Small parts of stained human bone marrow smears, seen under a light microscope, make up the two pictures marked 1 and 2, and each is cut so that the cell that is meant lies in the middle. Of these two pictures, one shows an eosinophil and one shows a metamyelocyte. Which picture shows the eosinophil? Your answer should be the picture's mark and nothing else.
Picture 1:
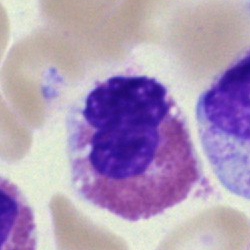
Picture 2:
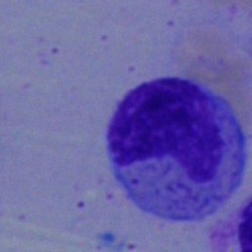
1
